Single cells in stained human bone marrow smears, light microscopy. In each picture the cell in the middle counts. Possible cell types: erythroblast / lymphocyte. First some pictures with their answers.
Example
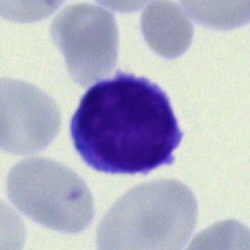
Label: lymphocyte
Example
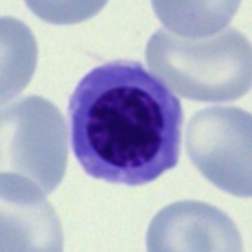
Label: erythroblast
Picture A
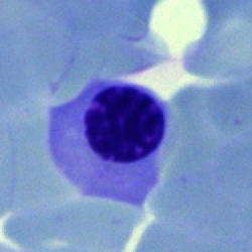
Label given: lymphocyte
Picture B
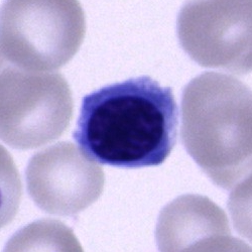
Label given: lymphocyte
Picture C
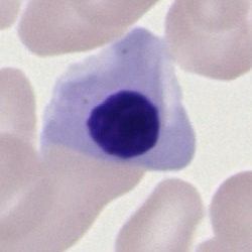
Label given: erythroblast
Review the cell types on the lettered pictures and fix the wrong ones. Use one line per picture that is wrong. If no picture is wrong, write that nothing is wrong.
Wrong: A (lymphocyte); correct: erythroblast
Wrong: B (lymphocyte); correct: erythroblast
